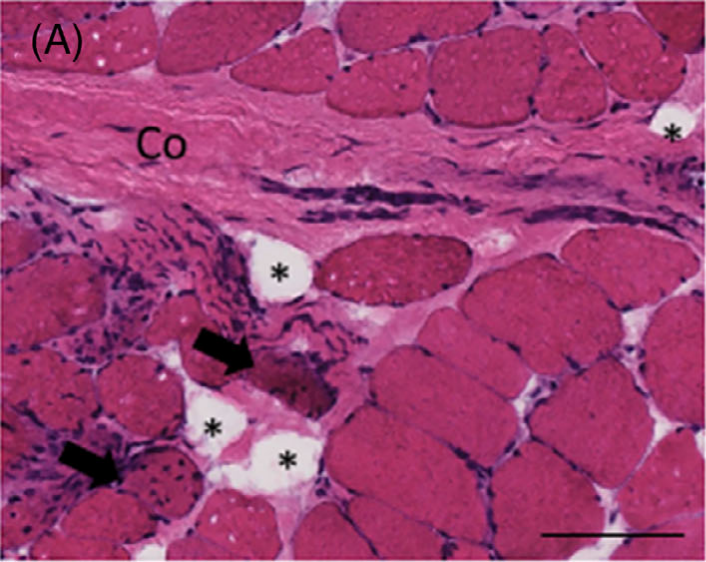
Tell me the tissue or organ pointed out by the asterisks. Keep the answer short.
Fat.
